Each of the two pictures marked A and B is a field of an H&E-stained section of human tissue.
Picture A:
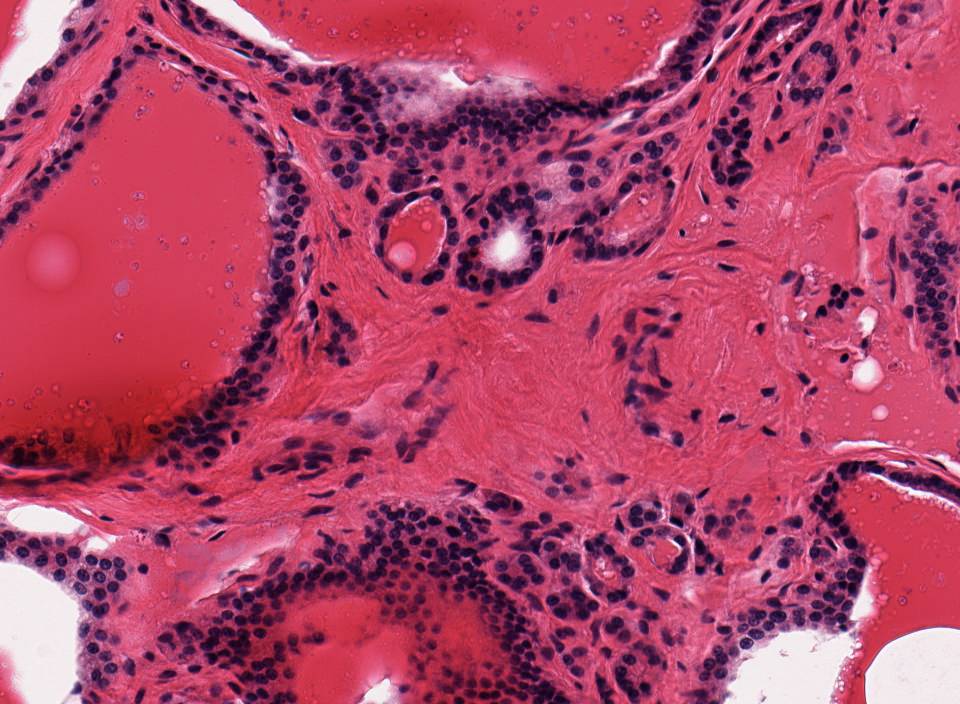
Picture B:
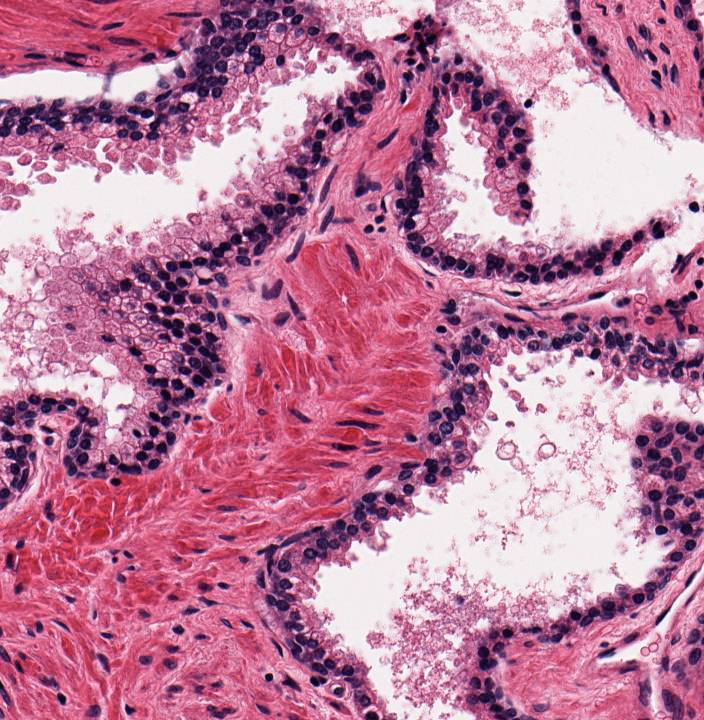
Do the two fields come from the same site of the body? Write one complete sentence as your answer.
No: picture A comes from the thyroid, but picture B comes from the prostate.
